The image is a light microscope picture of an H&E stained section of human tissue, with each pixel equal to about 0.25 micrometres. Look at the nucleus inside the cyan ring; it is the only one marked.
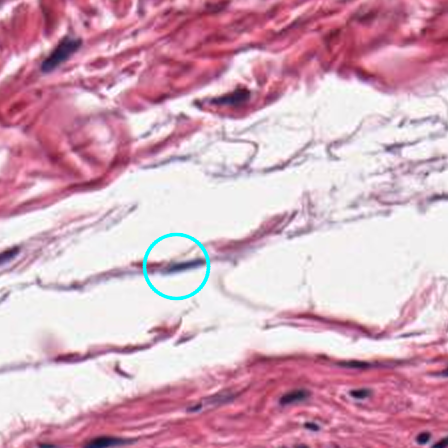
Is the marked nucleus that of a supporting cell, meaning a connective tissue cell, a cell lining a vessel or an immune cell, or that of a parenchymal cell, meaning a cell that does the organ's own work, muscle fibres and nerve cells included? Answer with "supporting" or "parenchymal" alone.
supporting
